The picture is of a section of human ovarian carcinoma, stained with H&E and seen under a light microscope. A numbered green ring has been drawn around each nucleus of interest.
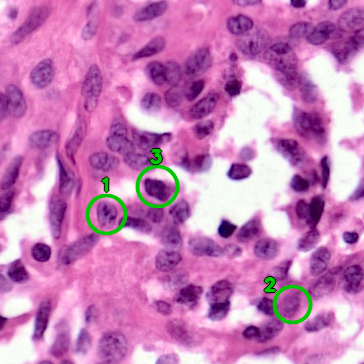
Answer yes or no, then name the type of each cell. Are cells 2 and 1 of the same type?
No, cell 2 is a carcinoma cell, with cell 1 being a macrophage or monocyte.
